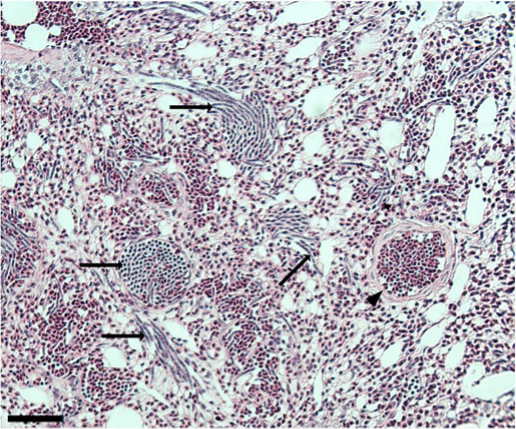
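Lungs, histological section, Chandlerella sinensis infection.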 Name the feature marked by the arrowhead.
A: Arteriole wall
